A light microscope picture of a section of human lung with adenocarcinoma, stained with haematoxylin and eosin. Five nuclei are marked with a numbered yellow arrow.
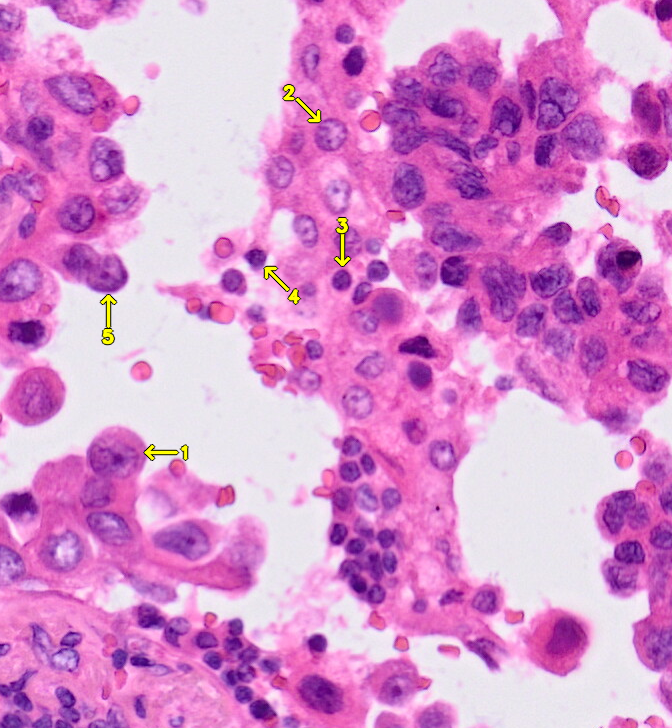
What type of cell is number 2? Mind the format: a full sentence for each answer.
What the number 2 marks in this field is a macrophage or monocyte.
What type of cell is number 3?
The numbered cell 3 is identified here as a lymphocyte.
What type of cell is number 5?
The nucleus labeled 5 belongs to a carcinoma cell.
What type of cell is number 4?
At number 4, the marked cell is a lymphocyte.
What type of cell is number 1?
The cell indicated with the number 1 is classed as a carcinoma cell.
